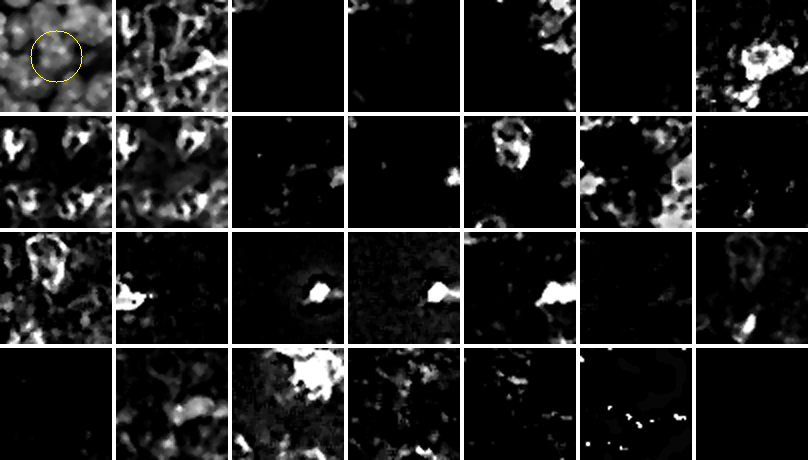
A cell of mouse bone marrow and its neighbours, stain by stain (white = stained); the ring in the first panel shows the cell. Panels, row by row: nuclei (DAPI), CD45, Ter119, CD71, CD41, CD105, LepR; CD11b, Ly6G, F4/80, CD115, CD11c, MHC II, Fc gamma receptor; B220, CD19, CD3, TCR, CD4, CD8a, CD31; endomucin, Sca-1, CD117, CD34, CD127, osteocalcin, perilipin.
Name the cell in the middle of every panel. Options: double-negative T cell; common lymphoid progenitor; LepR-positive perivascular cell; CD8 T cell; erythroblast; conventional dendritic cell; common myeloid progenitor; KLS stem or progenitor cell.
LepR-positive perivascular cell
